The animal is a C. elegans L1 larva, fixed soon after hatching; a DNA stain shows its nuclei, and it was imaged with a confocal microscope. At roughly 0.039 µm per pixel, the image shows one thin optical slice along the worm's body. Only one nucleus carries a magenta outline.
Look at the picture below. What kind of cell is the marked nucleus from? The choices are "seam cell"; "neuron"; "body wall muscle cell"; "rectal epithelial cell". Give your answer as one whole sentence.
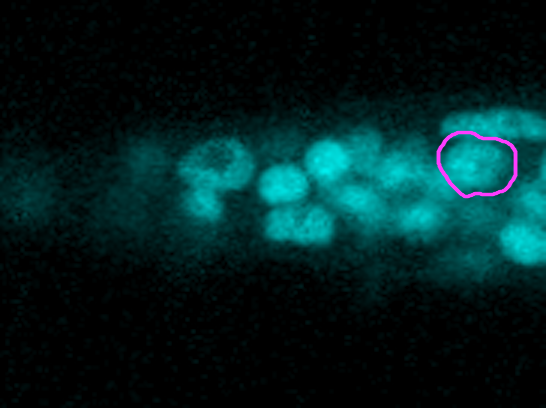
This nucleus is from a rectal epithelial cell.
